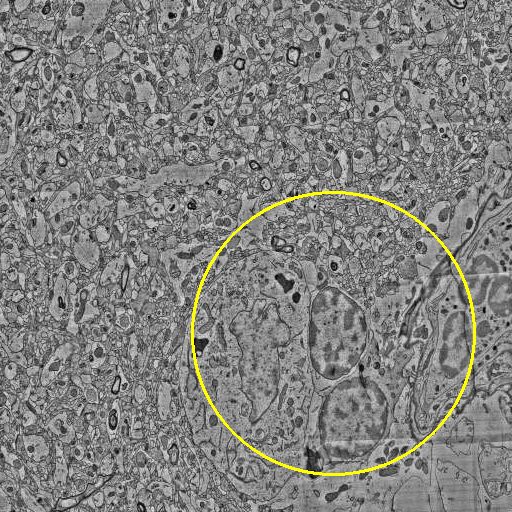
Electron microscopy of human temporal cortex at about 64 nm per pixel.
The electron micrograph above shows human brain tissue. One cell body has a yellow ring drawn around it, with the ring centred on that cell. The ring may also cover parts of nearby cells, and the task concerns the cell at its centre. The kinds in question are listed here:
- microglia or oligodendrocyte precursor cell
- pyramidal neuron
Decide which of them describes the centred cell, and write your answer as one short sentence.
The centred cell is a microglial cell or oligodendrocyte precursor cell.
